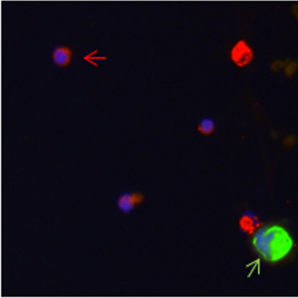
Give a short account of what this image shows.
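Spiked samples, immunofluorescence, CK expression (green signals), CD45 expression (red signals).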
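Several small, round lymphocytes and one large cancer cell are scattered over a dark field. The lymphocytes show blue nuclei that fill most of the cell, with red fluorescence at the rim, some appearing almost entirely red. In the lower right lies the larger cancer cell with bright green cytoplasm around a bluish nucleus, next to a small red cell.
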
